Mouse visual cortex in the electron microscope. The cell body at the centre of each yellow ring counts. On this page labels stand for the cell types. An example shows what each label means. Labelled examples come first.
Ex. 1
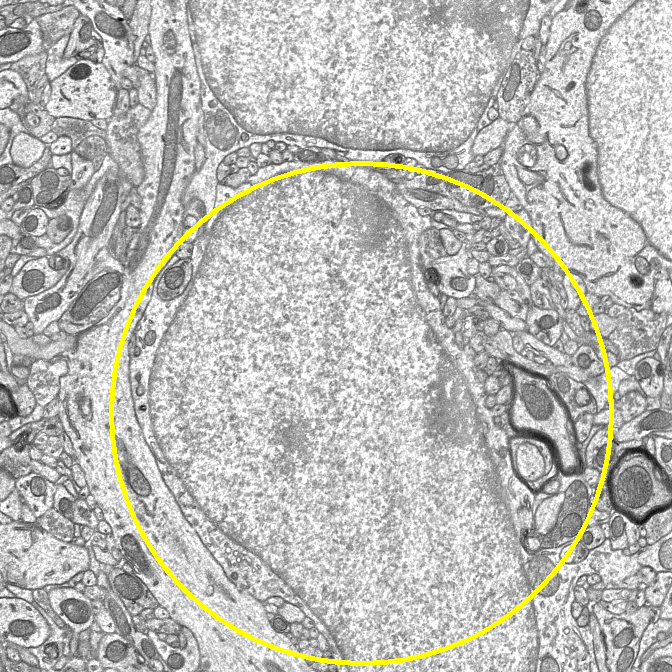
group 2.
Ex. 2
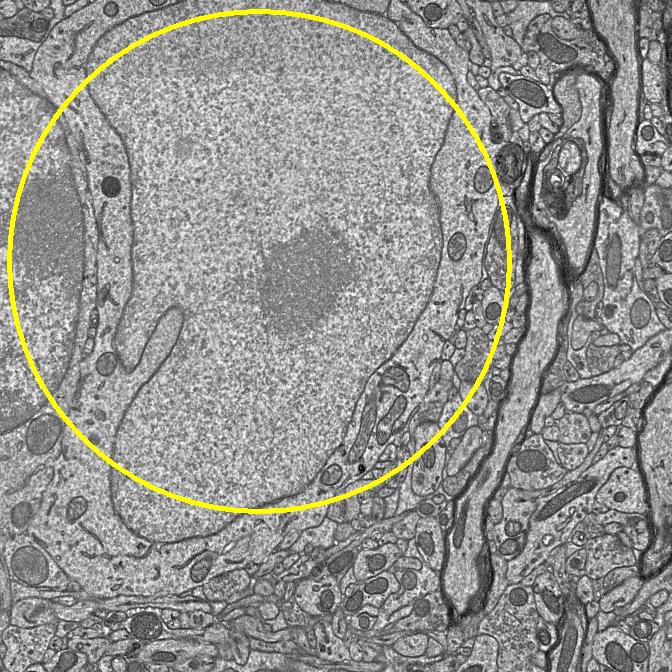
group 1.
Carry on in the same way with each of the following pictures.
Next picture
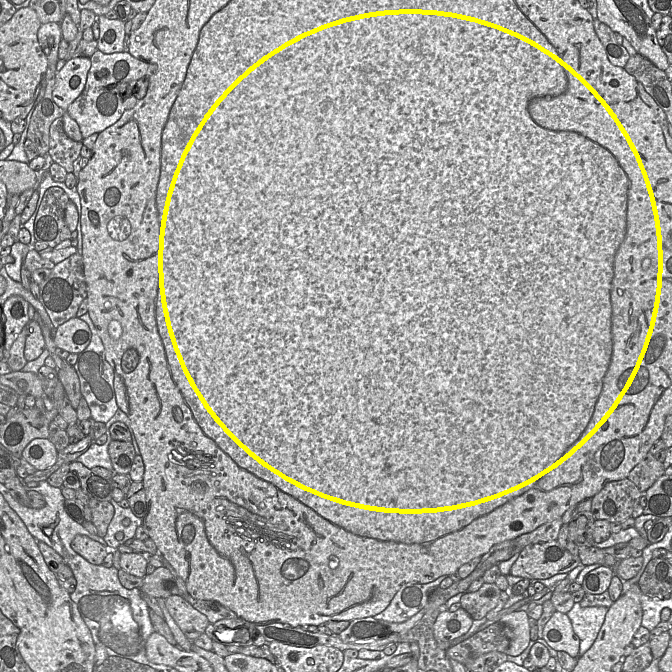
group 1.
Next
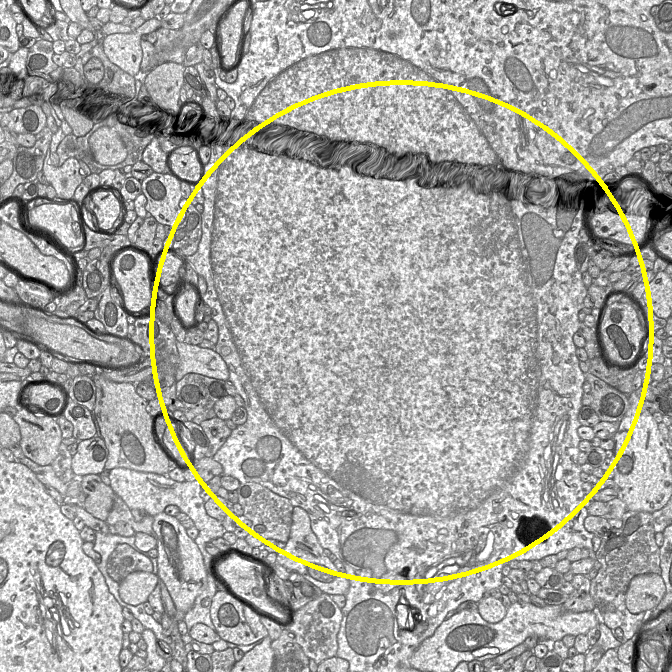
group 2.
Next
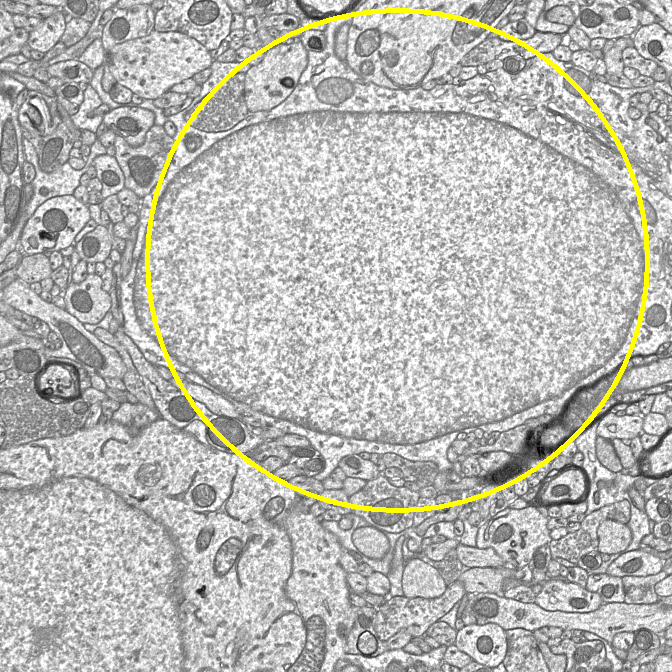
group 2.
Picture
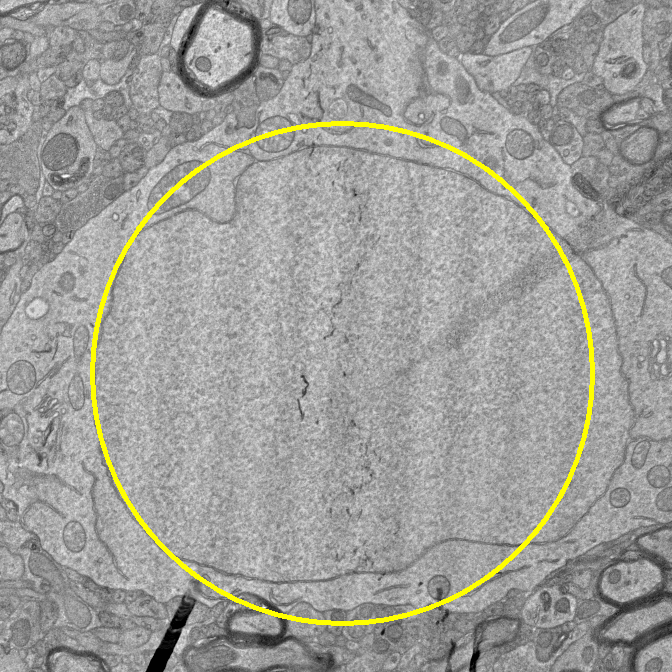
group 1.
